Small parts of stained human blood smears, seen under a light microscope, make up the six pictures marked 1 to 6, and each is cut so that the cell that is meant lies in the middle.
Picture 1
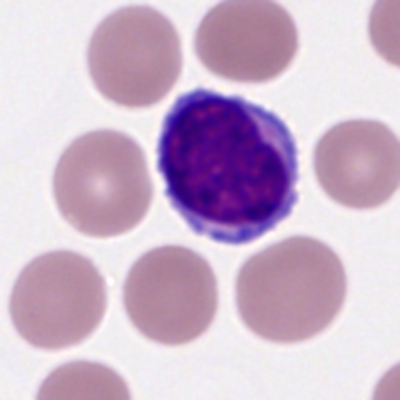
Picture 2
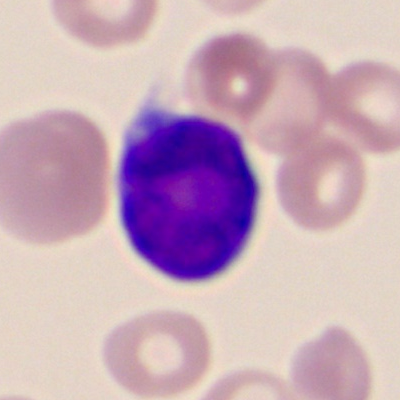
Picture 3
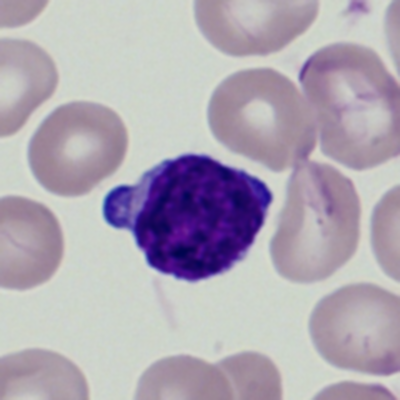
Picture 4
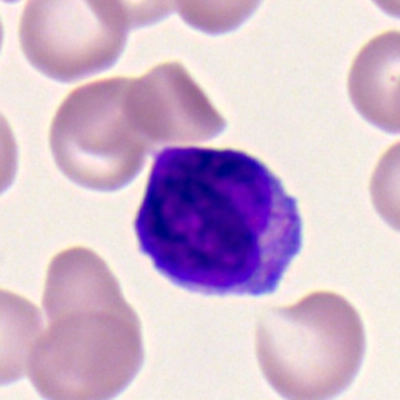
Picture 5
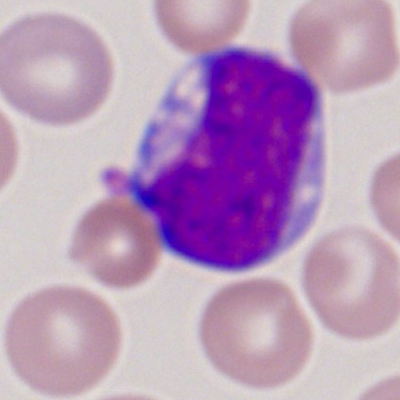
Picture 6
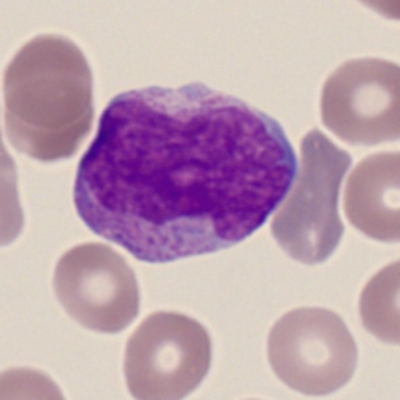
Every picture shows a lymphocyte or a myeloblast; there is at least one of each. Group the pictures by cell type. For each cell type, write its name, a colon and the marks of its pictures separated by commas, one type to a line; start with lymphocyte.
lymphocyte: 1, 3
myeloblast: 2, 4, 5, 6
